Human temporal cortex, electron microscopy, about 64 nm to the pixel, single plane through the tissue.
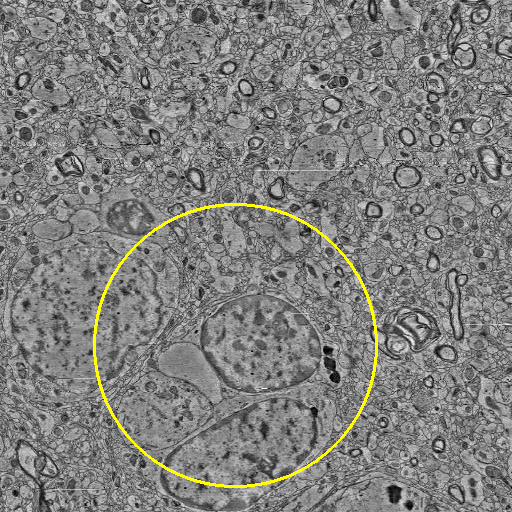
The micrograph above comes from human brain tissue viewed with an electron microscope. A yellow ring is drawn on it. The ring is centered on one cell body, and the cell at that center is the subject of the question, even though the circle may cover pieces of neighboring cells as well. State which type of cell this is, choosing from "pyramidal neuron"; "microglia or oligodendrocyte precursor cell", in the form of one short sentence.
The cell the ring is centered on is a microglial cell or oligodendrocyte precursor cell.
